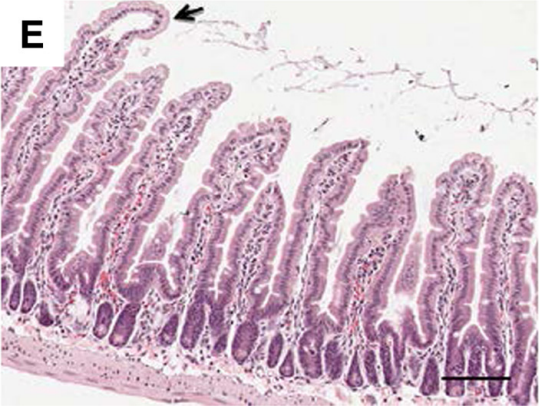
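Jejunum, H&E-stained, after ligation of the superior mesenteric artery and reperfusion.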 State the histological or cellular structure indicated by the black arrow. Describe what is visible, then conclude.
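At the black arrow the epithelium at the villus tip is lifted away from the underlying core, leaving a clear gap. So: Gruenhagen’s spaces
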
